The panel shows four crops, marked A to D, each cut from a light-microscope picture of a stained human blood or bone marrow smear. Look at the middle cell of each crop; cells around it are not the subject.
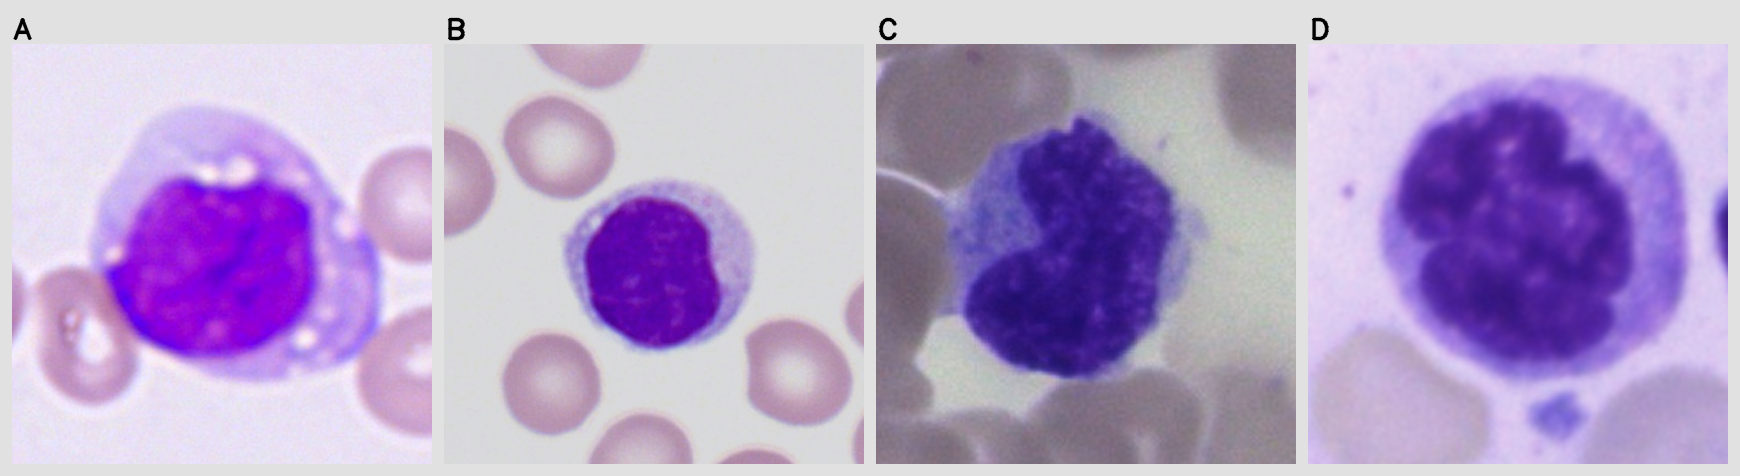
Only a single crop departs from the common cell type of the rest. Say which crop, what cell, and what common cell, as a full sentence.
Crop B is the one to flag: it is a lymphocyte, and the rest show monocytes.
